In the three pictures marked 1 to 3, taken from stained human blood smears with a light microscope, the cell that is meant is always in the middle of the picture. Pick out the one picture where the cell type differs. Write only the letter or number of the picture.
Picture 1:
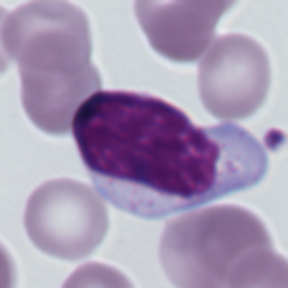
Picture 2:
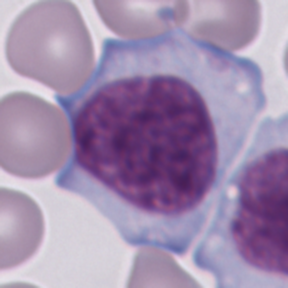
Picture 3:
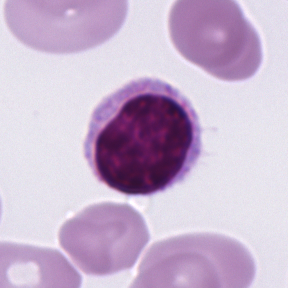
2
